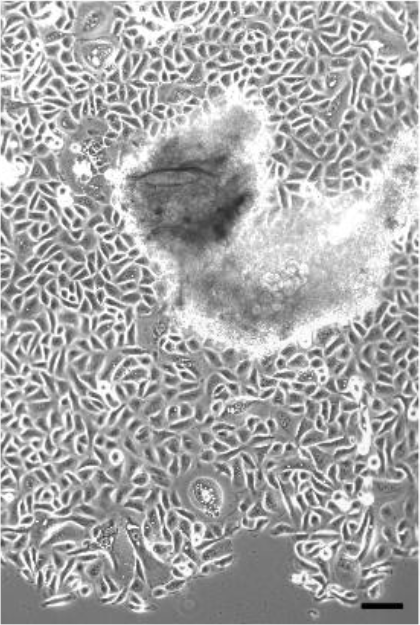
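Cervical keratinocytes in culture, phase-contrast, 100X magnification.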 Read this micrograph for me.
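The tissue fragment is the dark, dense, irregular mass in the upper middle, with a pale, light-scattering halo of piled-up cells along one side. Scattered among them are a few larger, rounded or vacuolated cells. The monolayer reaches the edges of the field except for a cell-free gap along the lower border.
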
